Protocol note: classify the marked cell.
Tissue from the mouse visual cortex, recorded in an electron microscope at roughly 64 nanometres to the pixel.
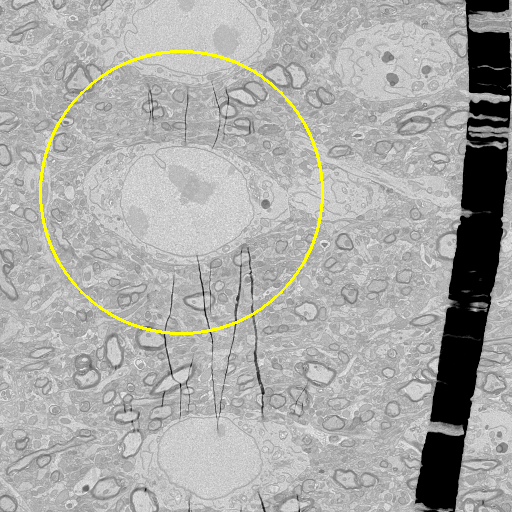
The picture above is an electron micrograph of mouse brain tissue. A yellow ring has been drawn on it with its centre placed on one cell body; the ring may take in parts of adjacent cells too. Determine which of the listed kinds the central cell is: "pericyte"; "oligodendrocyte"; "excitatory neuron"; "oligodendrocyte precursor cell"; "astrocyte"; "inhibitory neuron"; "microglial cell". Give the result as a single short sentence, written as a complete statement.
The central cell is an excitatory neuron.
